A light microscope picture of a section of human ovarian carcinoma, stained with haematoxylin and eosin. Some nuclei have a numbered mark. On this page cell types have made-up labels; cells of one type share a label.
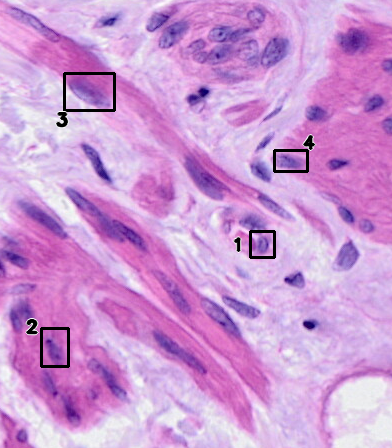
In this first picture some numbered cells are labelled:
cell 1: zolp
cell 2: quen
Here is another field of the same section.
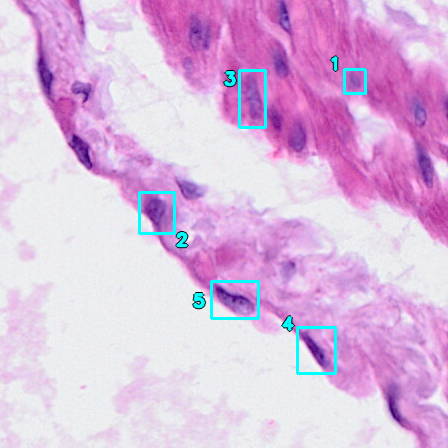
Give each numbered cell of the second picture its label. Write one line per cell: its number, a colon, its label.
1: quen
2: zolp
3: quen
4: zolp
5: zolp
